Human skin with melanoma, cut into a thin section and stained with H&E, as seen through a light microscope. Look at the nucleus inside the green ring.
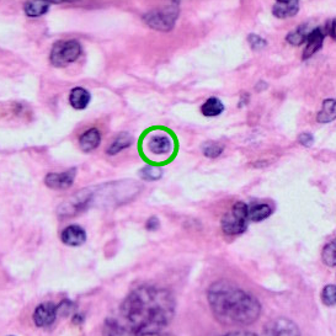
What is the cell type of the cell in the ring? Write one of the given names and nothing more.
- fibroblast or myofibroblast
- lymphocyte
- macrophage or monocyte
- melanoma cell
lymphocyte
